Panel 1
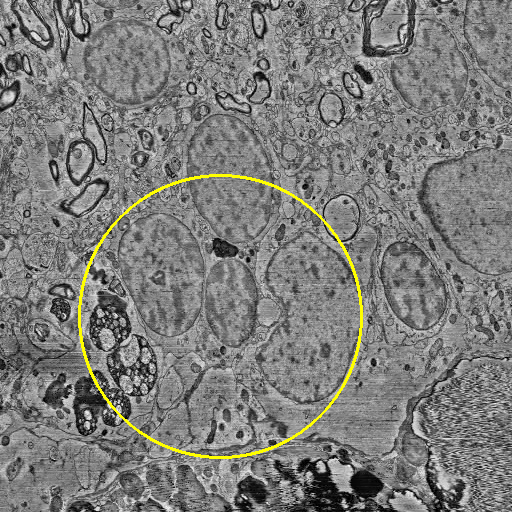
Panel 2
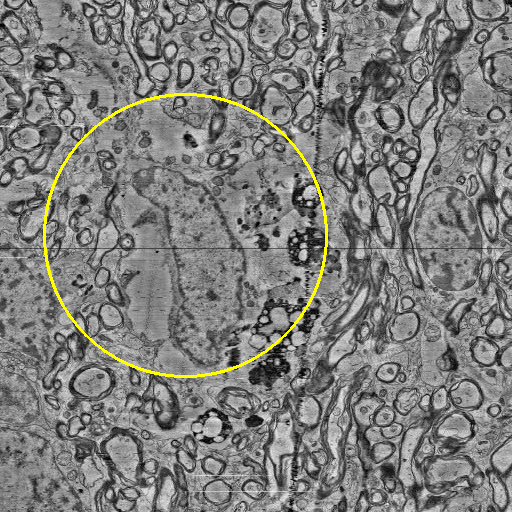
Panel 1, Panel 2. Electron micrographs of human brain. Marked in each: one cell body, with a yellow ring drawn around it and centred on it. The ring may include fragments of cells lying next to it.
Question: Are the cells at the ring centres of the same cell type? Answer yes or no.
no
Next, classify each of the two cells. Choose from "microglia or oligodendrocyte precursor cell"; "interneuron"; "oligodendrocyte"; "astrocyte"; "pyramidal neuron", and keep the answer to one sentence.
In the first picture it is an oligodendrocyte; in the second it is an astrocyte.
